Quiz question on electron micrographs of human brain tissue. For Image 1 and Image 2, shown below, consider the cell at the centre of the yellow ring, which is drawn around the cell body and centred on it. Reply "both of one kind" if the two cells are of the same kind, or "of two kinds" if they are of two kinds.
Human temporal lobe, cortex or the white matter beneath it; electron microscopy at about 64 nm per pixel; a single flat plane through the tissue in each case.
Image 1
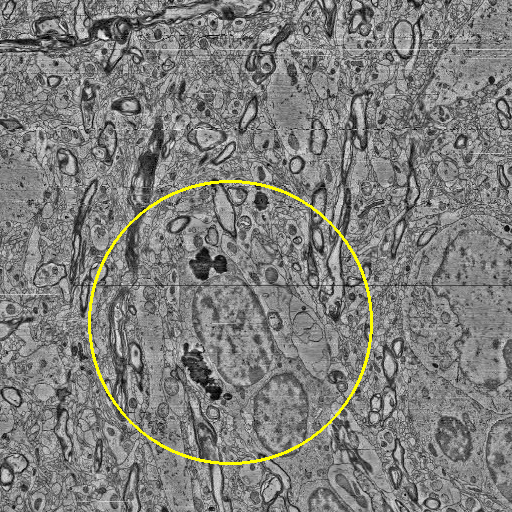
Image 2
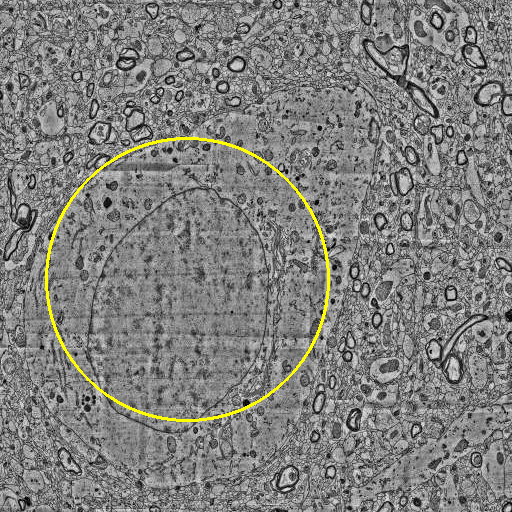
of two kinds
